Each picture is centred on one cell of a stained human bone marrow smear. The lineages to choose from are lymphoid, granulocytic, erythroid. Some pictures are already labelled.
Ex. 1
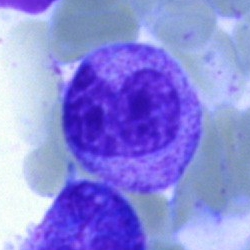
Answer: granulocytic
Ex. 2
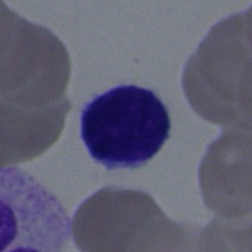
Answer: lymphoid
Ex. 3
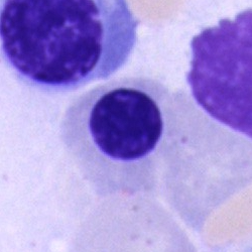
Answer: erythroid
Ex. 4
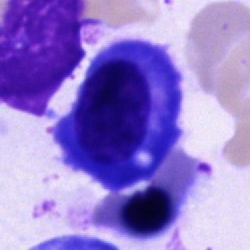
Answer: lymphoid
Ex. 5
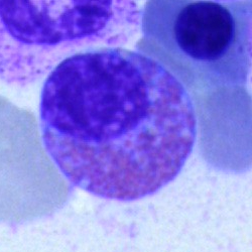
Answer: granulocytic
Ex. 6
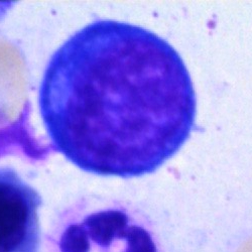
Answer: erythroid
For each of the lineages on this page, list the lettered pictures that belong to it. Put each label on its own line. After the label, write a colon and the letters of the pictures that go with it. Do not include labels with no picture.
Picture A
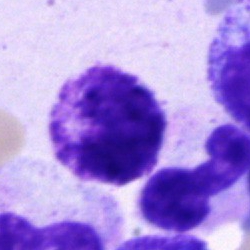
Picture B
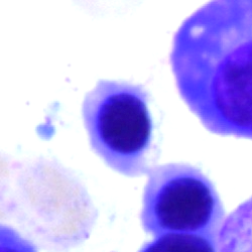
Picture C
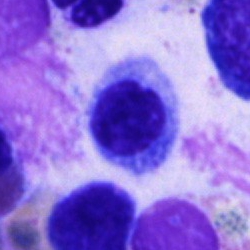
granulocytic: A
erythroid: B, C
